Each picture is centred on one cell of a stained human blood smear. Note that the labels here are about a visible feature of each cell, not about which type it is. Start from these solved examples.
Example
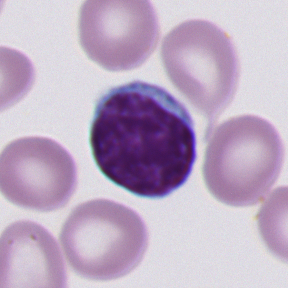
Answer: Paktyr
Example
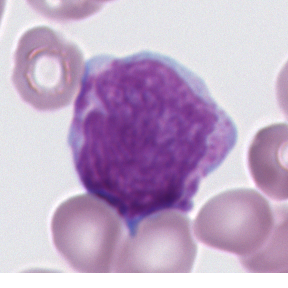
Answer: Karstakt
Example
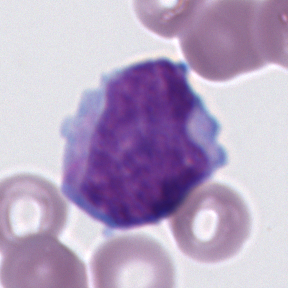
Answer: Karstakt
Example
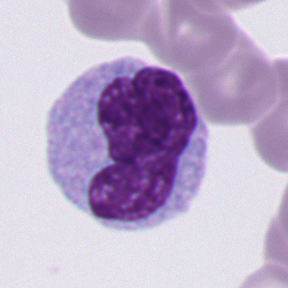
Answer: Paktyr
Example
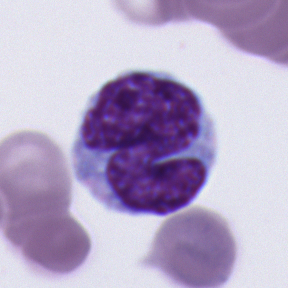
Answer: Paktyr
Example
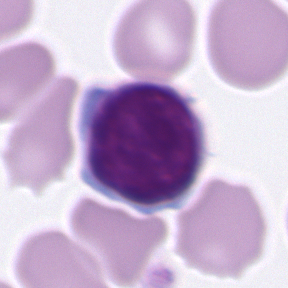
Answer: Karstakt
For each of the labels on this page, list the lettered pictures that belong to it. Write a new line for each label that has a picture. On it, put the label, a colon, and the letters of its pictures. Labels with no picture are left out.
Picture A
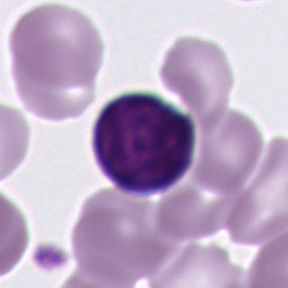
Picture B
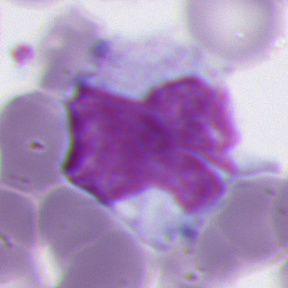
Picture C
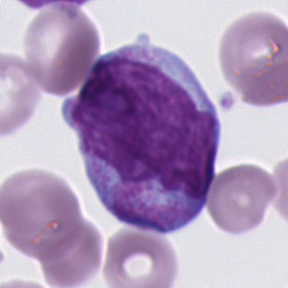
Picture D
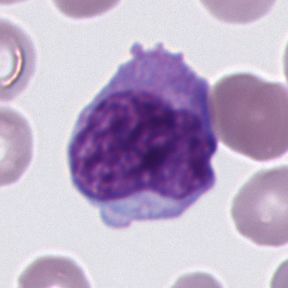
Paktyr: A
Karstakt: B, C, D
